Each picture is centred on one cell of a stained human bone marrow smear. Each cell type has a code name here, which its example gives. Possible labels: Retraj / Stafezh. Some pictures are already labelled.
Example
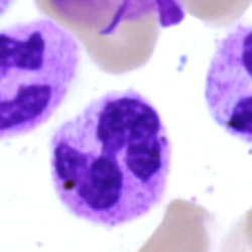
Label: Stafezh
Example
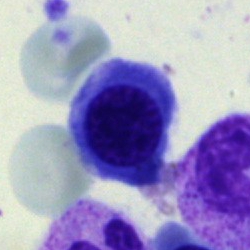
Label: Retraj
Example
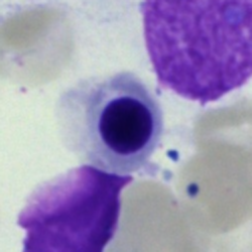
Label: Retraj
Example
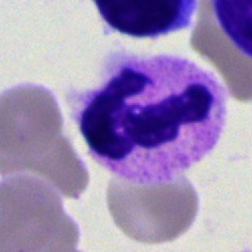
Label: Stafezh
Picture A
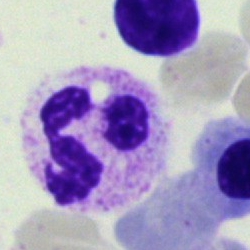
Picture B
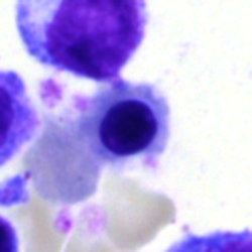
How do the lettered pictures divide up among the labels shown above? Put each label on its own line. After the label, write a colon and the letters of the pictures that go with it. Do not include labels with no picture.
Retraj: B
Stafezh: A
